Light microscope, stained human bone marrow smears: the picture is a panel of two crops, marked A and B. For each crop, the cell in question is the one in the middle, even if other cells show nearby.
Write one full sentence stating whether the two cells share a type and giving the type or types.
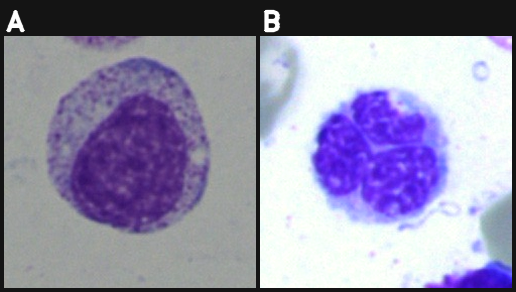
No, a myelocyte is centred in crop A, and a monocyte is centred in crop B.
